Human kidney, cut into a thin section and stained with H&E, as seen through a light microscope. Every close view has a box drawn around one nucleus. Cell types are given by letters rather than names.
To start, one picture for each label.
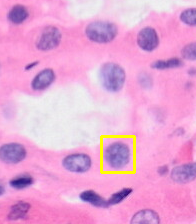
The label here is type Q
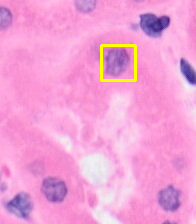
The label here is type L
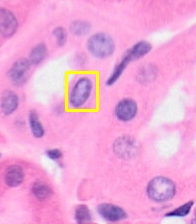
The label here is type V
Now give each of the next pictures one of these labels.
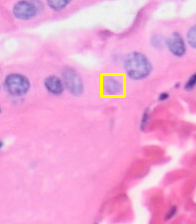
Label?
type V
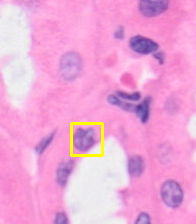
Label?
type Q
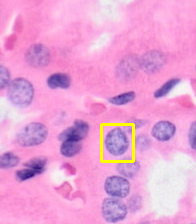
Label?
type V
